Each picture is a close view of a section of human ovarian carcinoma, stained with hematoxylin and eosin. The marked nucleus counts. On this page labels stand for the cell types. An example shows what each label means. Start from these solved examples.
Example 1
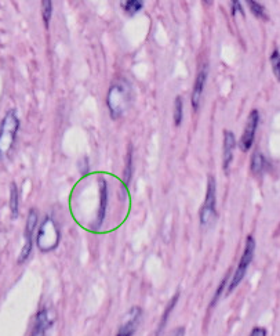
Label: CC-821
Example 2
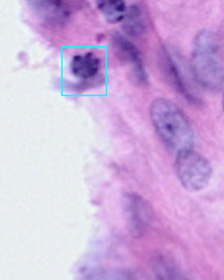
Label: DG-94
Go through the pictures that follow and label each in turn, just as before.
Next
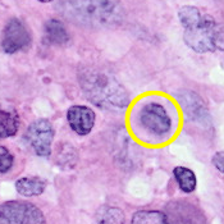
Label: DG-94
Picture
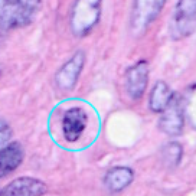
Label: DG-94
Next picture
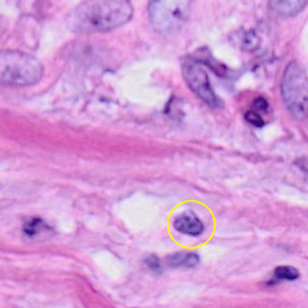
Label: DG-94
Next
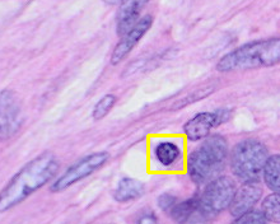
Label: DG-94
